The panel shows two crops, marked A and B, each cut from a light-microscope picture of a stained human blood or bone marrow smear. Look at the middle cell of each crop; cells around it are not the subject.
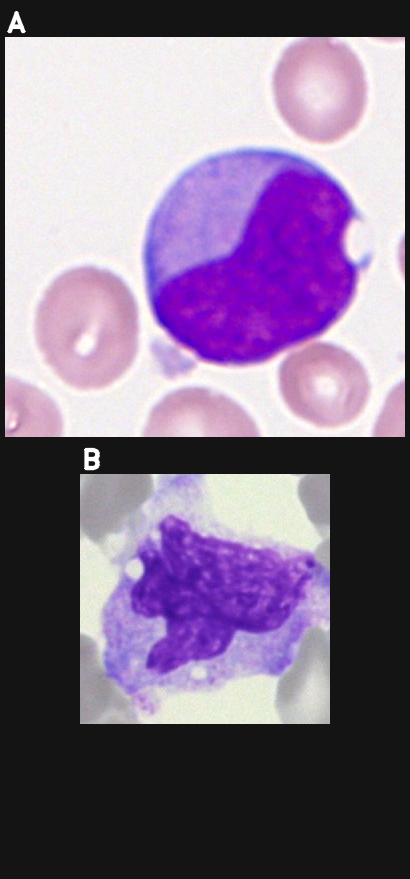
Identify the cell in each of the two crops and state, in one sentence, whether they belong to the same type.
No, what crop A shows is a blast, and what crop B shows is a monocyte.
